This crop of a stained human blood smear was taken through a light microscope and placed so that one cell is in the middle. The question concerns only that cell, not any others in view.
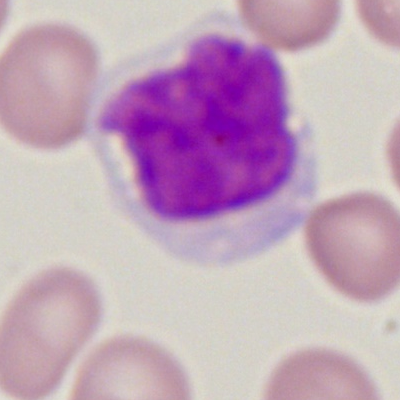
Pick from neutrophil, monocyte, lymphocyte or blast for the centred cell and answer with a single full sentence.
The cell of interest, in the center, is a monocyte.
